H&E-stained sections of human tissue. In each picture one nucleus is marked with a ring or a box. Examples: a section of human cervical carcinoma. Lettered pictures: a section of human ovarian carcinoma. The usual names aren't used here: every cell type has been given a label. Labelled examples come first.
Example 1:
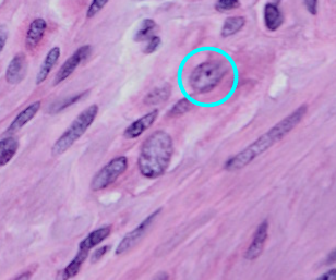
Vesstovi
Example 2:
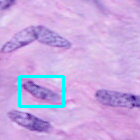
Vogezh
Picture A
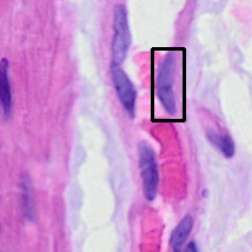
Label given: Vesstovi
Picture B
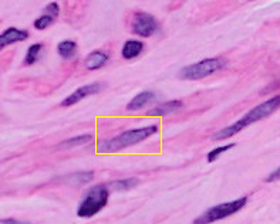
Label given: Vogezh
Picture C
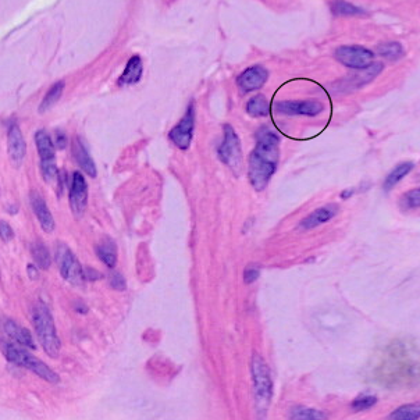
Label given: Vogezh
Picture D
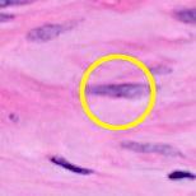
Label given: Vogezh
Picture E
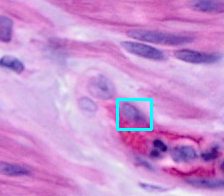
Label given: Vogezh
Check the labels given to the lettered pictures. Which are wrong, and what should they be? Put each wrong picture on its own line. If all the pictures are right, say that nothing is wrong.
Wrong: E (Vogezh); correct: Vesstovi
